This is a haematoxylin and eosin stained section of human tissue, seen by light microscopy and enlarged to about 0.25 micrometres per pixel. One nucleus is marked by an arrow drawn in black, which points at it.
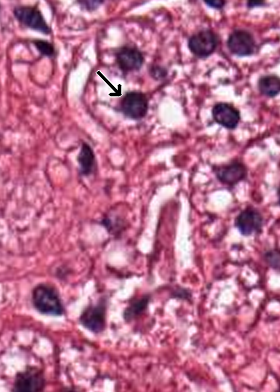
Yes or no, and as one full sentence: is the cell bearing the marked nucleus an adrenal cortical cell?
Yes, the marked nucleus belongs to an adrenal cortical cell in this image.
